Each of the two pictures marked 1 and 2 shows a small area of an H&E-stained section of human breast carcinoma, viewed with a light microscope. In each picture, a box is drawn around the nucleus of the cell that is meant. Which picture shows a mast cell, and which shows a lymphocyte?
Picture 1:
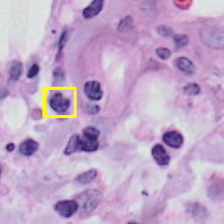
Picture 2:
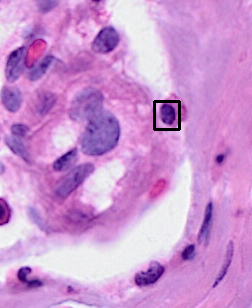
1: lymphocyte
2: mast cell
